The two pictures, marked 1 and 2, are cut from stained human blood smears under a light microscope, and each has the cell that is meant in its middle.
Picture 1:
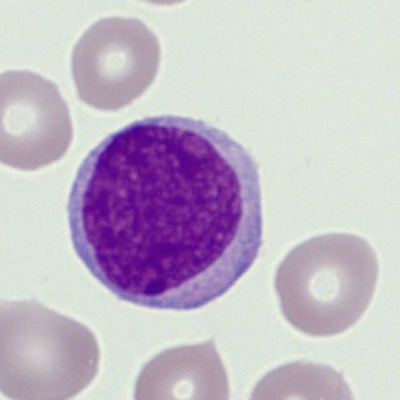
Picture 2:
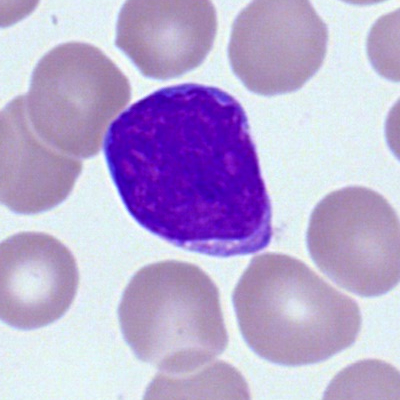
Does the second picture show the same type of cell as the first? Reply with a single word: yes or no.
yes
